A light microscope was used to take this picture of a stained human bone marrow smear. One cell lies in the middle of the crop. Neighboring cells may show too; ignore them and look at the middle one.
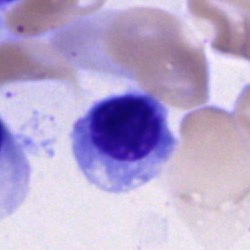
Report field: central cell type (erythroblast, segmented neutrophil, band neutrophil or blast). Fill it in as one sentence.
Looking at the middle of the crop, the cell there is an erythroblast.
